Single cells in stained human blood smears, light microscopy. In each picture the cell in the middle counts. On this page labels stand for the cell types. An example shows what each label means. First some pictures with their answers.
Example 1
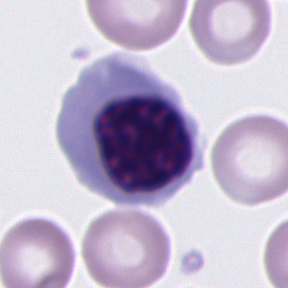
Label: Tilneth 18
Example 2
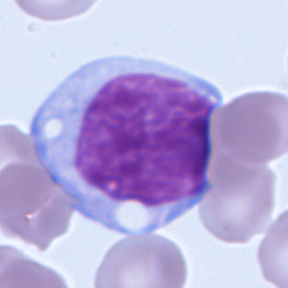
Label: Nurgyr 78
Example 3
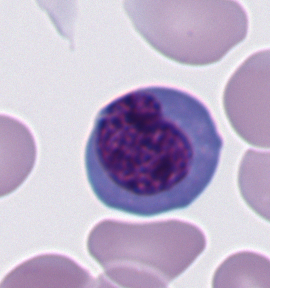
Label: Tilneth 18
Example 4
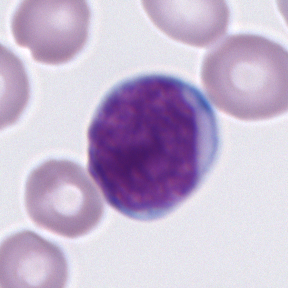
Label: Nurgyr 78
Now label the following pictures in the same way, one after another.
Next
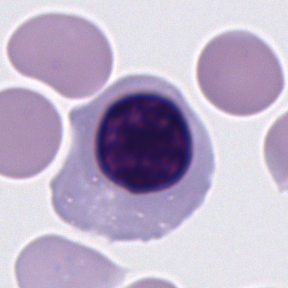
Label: Tilneth 18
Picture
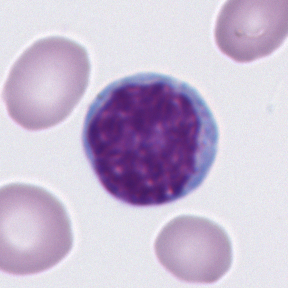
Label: Nurgyr 78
